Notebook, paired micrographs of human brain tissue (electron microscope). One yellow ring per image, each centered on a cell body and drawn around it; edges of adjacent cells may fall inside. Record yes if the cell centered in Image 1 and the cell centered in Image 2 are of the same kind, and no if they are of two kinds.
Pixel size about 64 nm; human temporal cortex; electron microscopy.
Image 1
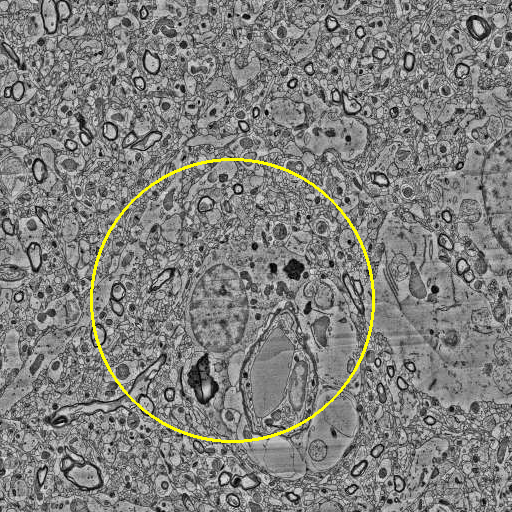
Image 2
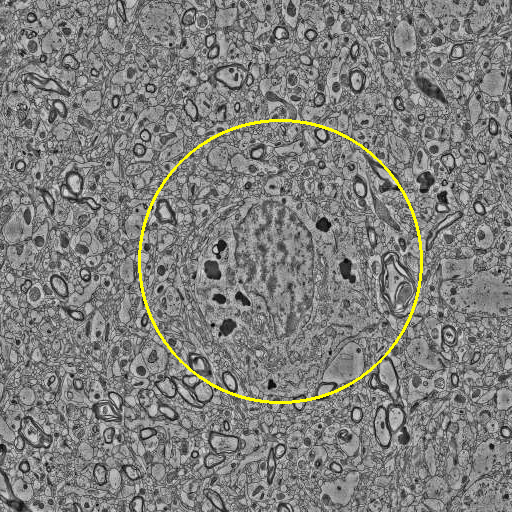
no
